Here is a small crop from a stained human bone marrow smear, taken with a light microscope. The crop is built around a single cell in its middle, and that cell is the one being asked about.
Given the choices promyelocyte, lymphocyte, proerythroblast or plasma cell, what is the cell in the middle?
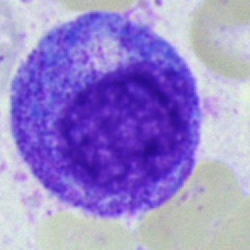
promyelocyte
